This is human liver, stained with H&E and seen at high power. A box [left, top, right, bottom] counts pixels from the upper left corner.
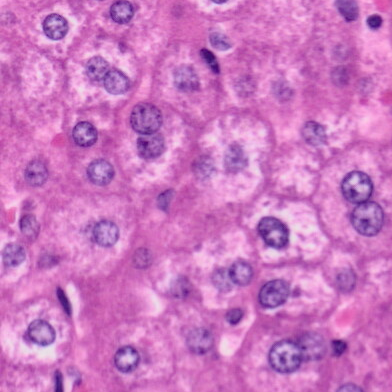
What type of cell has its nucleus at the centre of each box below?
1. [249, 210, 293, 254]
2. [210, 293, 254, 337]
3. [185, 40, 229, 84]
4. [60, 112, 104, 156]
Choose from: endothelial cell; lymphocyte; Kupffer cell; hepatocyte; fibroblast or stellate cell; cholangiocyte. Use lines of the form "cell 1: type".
cell 1: hepatocyte
cell 2: Kupffer cell
cell 3: fibroblast or stellate cell
cell 4: hepatocyte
